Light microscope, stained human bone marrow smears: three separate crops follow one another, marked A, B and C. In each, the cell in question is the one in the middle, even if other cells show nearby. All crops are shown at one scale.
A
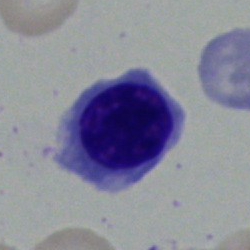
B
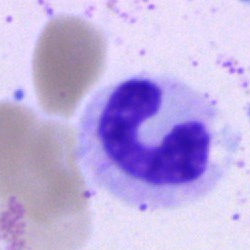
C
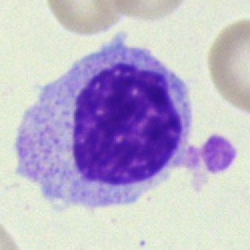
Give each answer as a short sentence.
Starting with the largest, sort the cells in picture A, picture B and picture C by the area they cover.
Going down, they run C, B, A.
